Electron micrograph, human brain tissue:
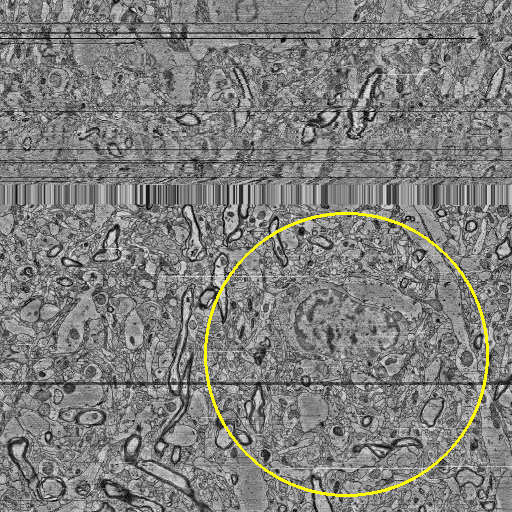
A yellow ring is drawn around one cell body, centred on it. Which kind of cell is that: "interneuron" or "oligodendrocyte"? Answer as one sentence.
It is an oligodendrocyte at the centre of the ring.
